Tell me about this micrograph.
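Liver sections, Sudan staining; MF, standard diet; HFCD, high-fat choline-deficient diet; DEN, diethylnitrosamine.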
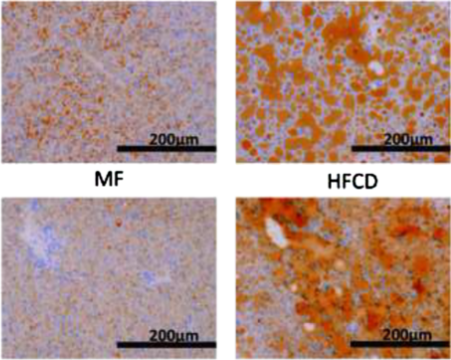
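In the two left images only fine orange dots are scattered across the tissue. In the two right images large confluent orange-red patches cover much of the field.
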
